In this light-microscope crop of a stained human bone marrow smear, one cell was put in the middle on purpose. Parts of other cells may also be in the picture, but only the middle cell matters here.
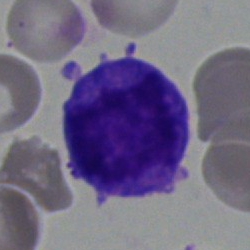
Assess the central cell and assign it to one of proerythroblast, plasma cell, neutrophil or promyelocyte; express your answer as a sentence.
The crop's centre is taken up by a promyelocyte.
